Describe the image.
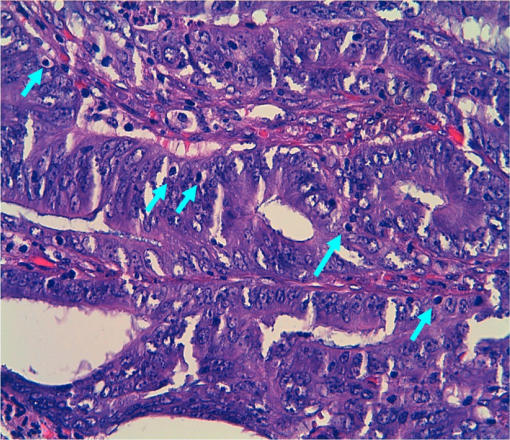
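These are glands of an adenocarcinoma, lined by tumor cells that have small lymphocytes sitting within the epithelium. The tumor cells are tall and columnar, with crowded, elongated, purple nuclei and pink cytoplasm, and they form irregular glands around clear lumens. Between these tumor cells lie small cells with round, very dark nuclei, often surrounded by a thin clear halo. These are intraepithelial lymphocytes, scattered in the lining rather than in the stroma. Thin strands of pink stroma with a few red blood cells run between the glands.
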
